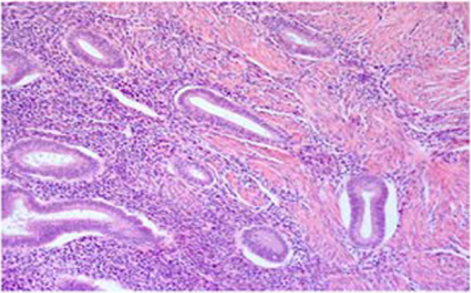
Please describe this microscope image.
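This is endometrium with glands cut across and lengthwise, each lined by a single layer of tall columnar epithelial cells whose dark purple nuclei sit in a row, around an open pale lumen. Between the glands lies a stroma crowded with small dark nuclei, and toward the right the tissue becomes pinker and more fibrous with fewer glands.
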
